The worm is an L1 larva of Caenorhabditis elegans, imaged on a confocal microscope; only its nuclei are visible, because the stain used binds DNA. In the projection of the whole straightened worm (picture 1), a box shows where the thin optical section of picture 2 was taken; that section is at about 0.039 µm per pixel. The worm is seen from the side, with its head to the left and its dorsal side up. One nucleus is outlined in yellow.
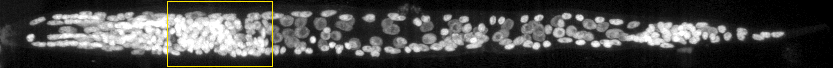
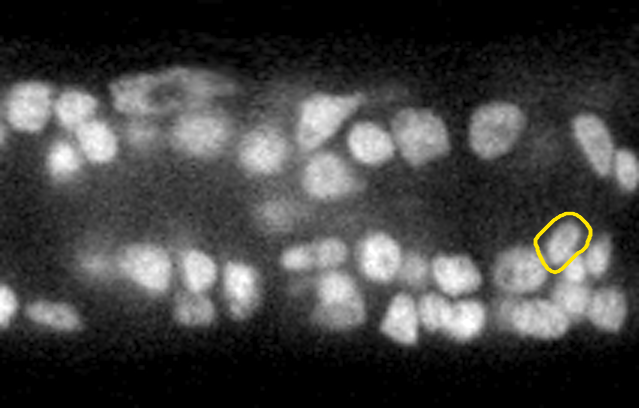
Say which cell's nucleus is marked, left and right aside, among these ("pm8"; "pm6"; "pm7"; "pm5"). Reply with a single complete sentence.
The marked cell is pm8, a pharyngeal muscle cell.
